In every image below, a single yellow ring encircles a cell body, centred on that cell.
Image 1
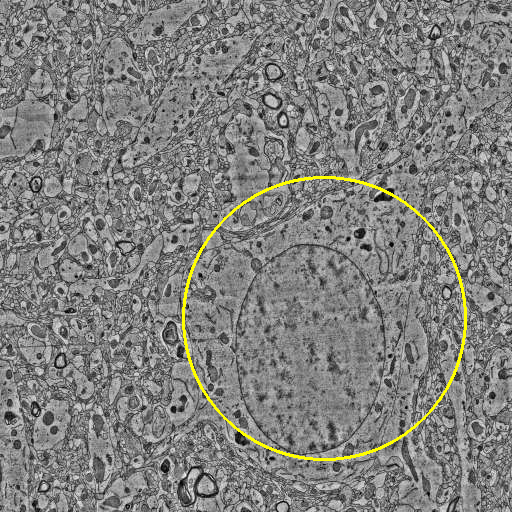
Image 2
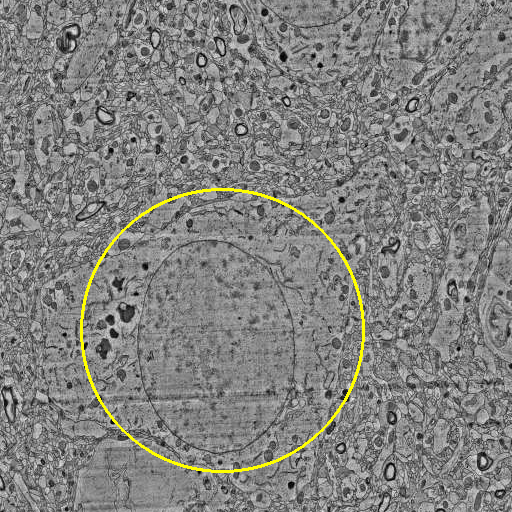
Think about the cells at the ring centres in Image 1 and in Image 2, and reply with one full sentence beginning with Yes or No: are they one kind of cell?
Yes, the cells centred in the rings of Image 1 and Image 2 are one kind of cell.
